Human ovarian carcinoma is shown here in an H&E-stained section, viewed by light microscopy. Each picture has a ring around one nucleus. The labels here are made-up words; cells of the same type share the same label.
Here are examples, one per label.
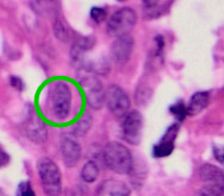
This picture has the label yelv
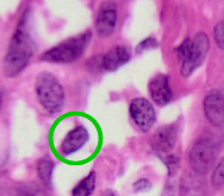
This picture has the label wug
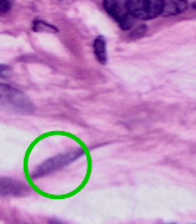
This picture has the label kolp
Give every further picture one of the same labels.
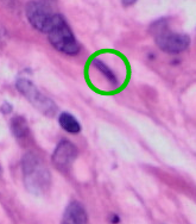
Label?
kolp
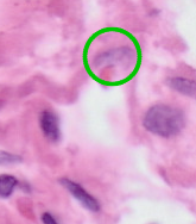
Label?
kolp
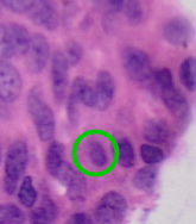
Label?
wug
